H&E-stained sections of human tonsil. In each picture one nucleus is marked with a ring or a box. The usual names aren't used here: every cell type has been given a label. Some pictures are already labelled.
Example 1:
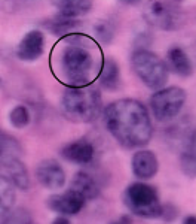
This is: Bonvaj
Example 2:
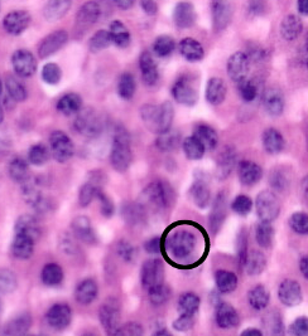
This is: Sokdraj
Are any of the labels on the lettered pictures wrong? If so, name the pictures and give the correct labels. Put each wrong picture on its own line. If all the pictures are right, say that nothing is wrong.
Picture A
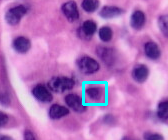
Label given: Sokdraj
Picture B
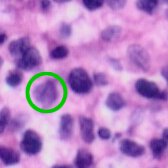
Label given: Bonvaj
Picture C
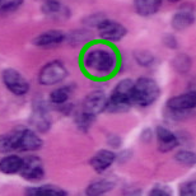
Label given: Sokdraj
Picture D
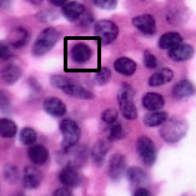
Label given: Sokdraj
Every label is right.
